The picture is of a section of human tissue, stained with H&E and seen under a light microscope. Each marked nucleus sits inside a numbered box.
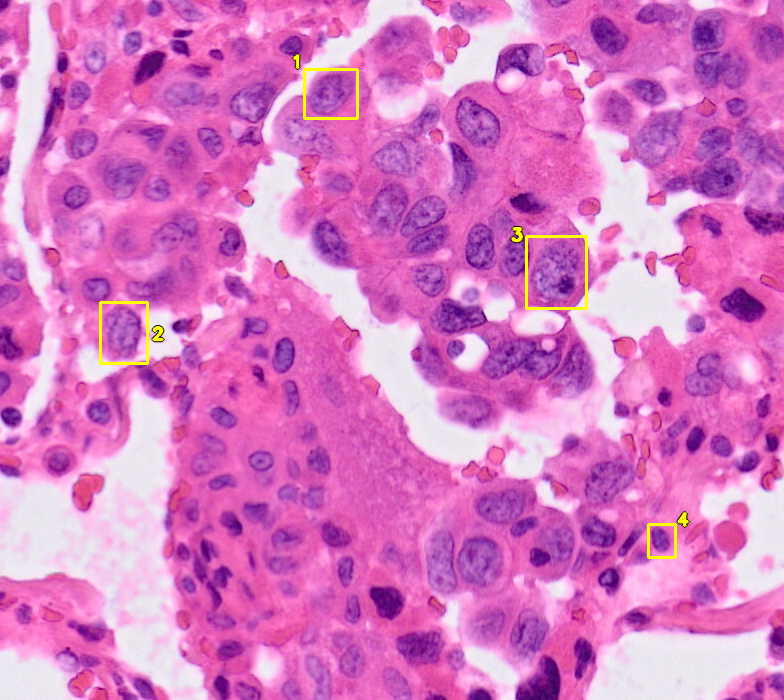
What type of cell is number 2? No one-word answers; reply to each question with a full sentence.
Recognised here as a carcinoma cell is the cell numbered 2.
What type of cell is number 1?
The cell given label 1 is a carcinoma cell.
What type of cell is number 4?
Cell 4, among those numbered, is a mast cell.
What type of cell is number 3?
It is as a carcinoma cell that the cell numbered 3 is identified.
